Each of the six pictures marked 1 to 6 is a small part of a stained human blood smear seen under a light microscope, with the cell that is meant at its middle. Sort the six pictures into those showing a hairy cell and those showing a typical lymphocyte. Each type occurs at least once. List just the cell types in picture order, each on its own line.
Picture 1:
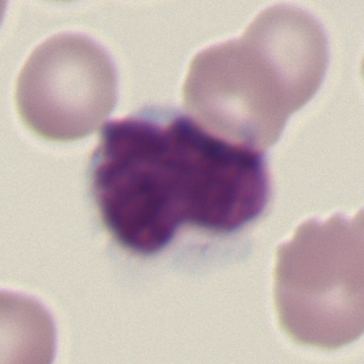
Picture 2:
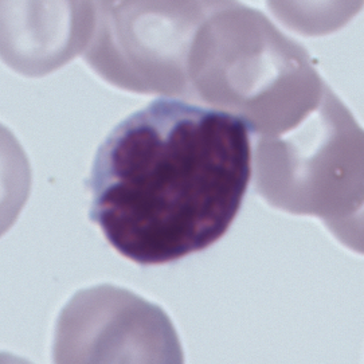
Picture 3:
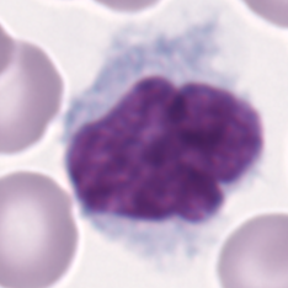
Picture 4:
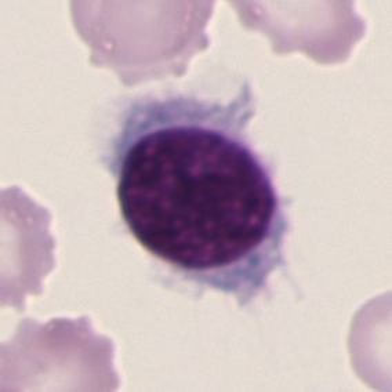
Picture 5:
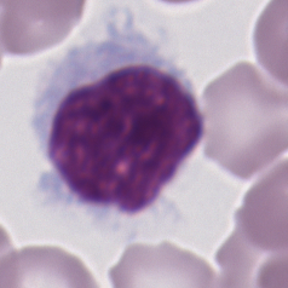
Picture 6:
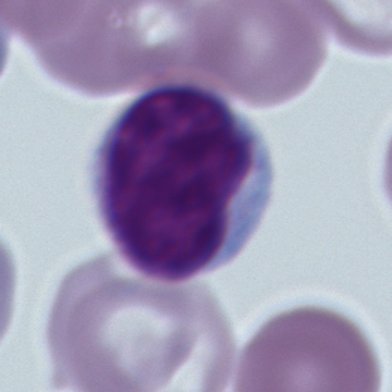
typical lymphocyte
typical lymphocyte
hairy cell
hairy cell
hairy cell
typical lymphocyte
